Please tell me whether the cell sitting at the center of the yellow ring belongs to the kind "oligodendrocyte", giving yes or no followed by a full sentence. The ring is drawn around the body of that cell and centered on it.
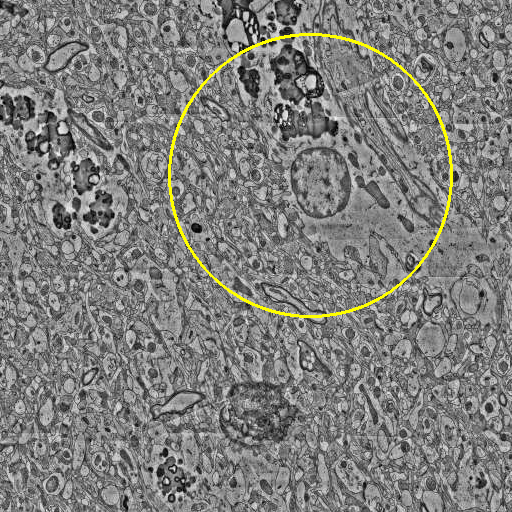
No, the cell at the center of the ring in the picture is of another kind.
